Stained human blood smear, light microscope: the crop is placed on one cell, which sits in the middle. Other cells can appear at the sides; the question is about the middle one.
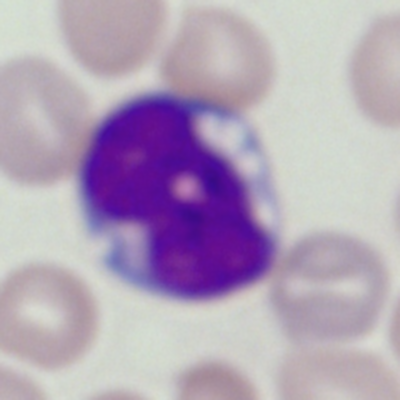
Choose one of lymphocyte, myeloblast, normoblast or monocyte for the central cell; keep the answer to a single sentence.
The crop's centre is taken up by a myeloblast.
